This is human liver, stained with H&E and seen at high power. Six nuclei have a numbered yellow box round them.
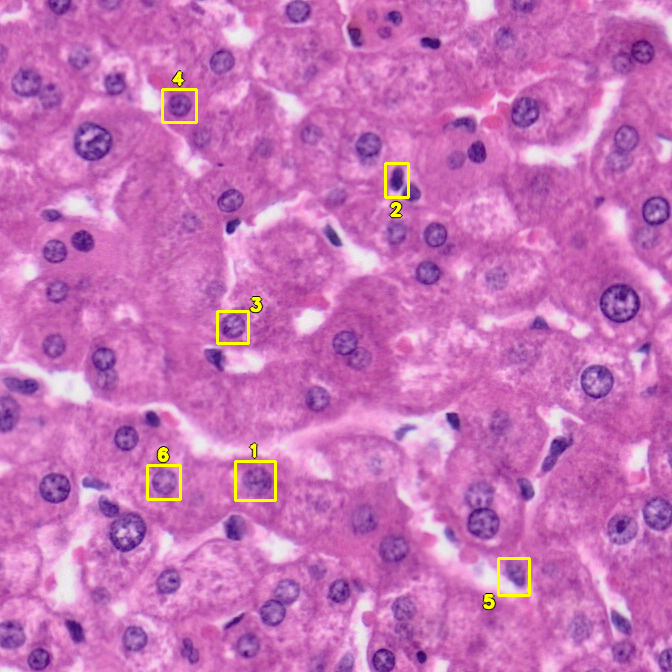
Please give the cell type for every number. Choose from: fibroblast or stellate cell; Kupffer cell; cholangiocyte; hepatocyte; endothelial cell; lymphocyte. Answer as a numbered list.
1. hepatocyte
2. lymphocyte
3. hepatocyte
4. hepatocyte
5. Kupffer cell
6. hepatocyte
